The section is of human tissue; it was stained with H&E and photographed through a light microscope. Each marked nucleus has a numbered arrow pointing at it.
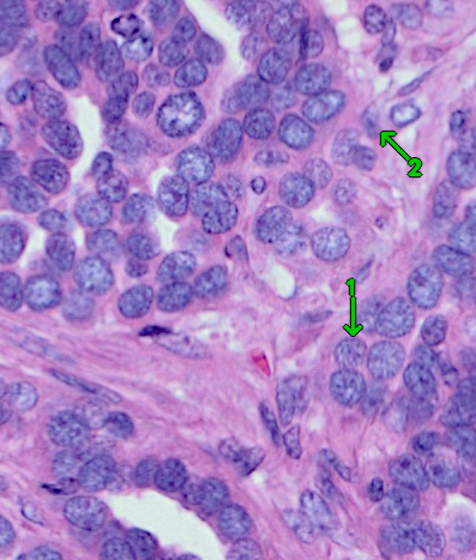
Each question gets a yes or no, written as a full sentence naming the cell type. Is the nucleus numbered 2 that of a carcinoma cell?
No, number 2 marks a fibroblast rather than a carcinoma cell.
